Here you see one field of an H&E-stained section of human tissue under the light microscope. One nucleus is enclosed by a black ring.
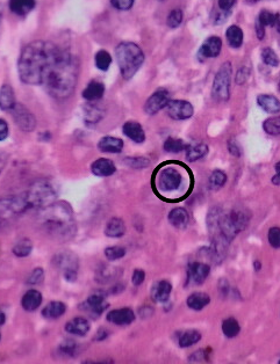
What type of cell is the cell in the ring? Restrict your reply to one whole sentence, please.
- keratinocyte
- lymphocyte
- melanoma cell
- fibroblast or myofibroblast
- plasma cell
Recorded by type, the cell in the ring is a lymphocyte.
